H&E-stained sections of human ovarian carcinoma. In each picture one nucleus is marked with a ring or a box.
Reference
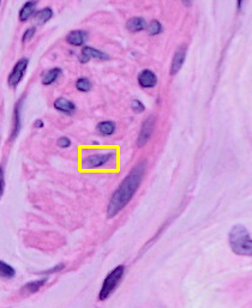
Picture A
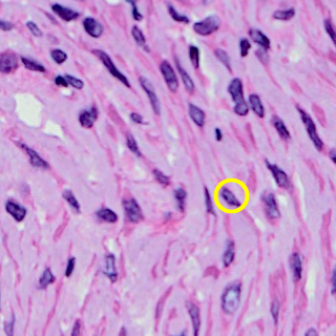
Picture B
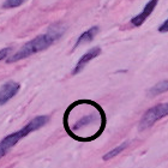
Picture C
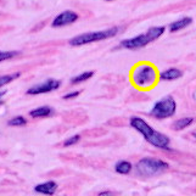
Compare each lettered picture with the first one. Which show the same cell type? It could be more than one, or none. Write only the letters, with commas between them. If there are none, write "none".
B, C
